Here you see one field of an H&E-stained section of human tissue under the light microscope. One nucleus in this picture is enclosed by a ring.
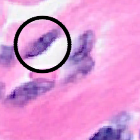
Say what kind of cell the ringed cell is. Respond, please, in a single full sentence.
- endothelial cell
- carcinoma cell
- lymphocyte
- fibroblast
Considered by cell type, the ringed cell is an endothelial cell.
